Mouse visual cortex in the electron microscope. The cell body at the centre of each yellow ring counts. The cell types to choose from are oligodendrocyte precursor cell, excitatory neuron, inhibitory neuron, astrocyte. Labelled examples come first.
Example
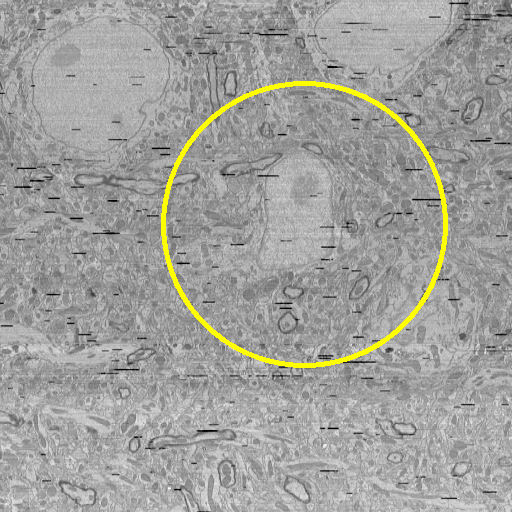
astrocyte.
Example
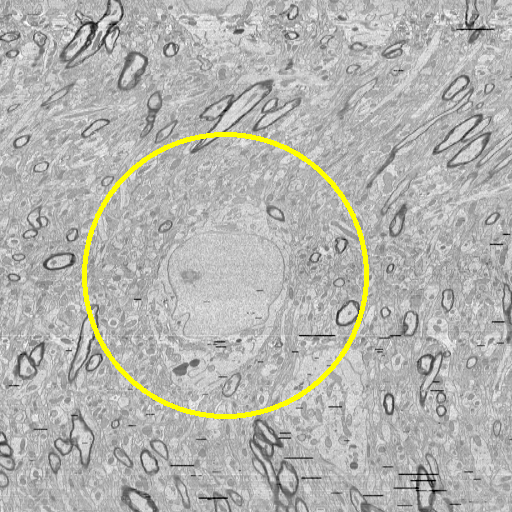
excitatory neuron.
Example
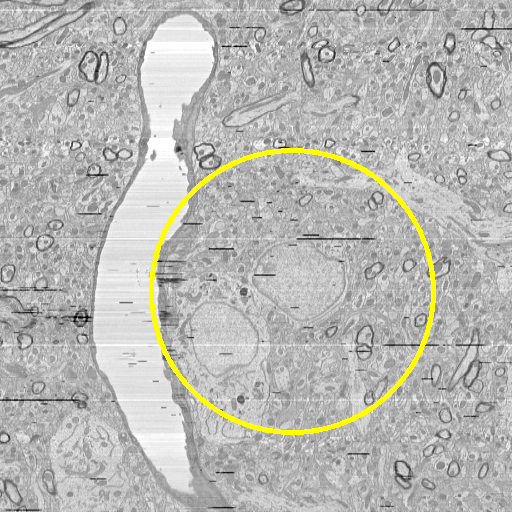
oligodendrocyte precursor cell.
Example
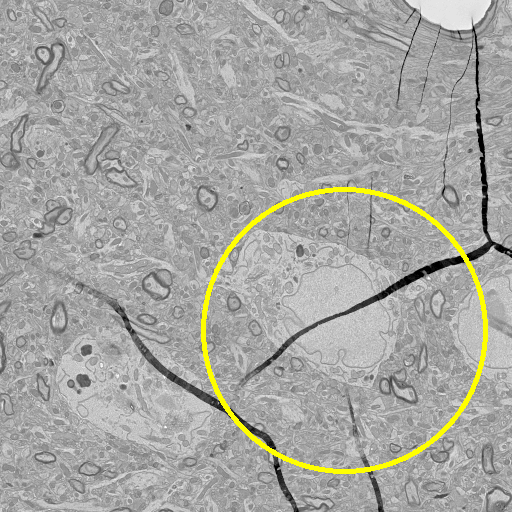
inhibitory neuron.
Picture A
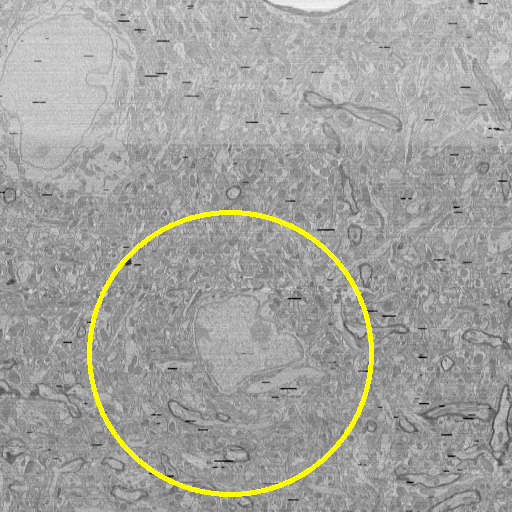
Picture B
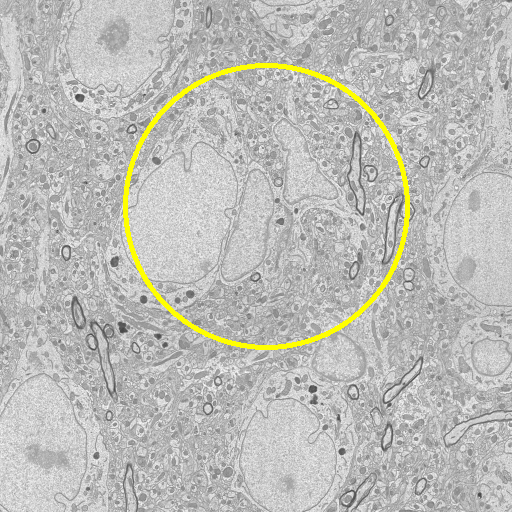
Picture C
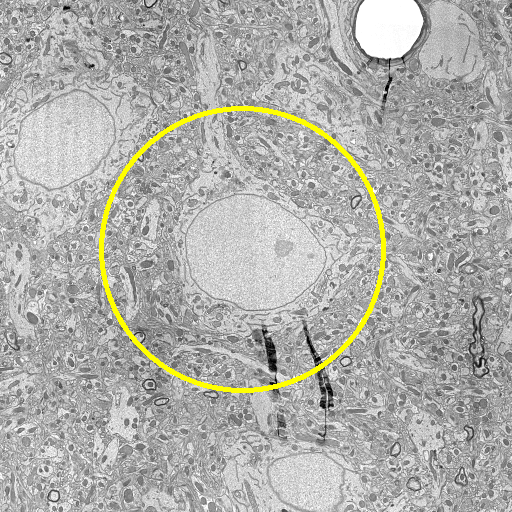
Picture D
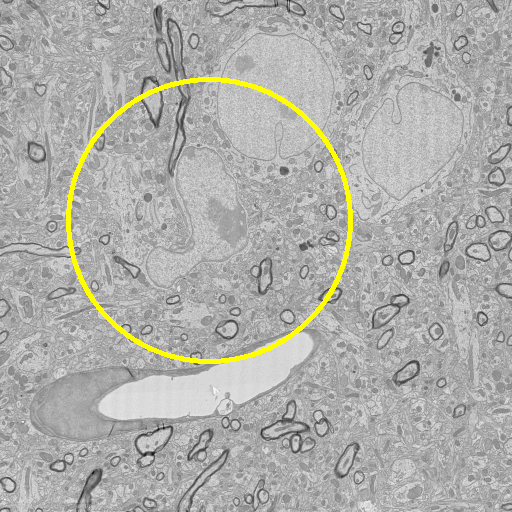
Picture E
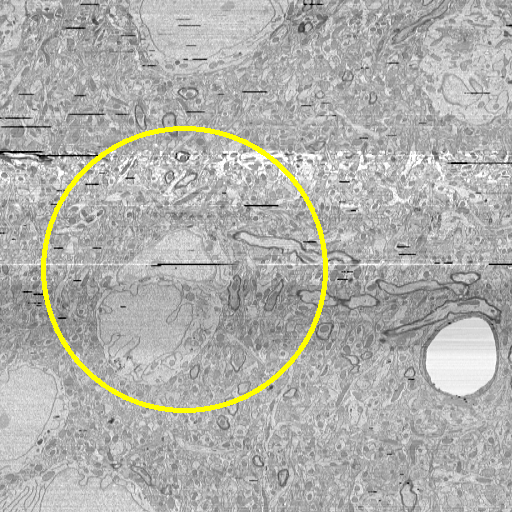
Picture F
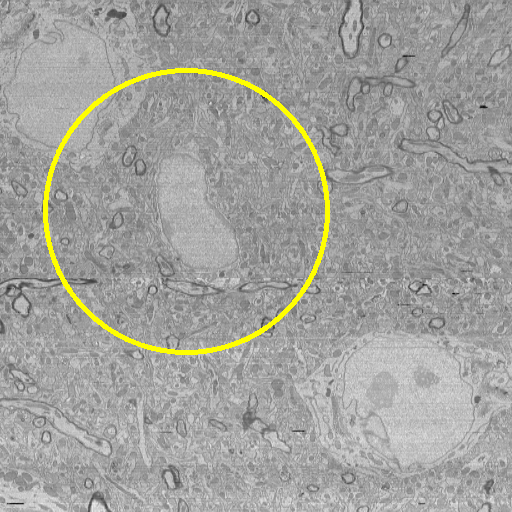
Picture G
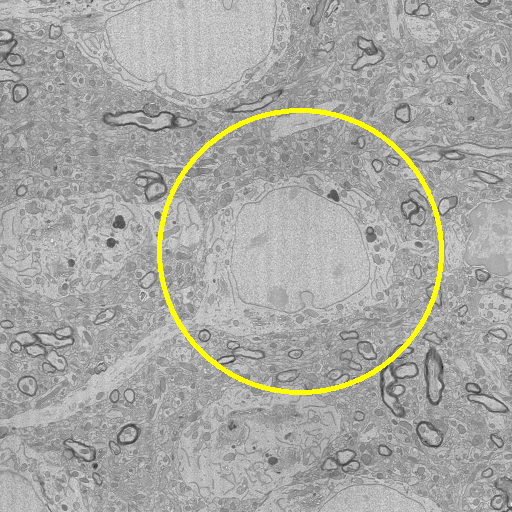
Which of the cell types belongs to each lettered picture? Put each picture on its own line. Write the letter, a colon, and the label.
A: oligodendrocyte precursor cell.
B: oligodendrocyte precursor cell.
C: excitatory neuron.
D: oligodendrocyte precursor cell.
E: oligodendrocyte precursor cell.
F: oligodendrocyte precursor cell.
G: excitatory neuron.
